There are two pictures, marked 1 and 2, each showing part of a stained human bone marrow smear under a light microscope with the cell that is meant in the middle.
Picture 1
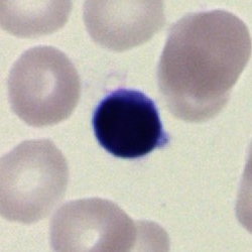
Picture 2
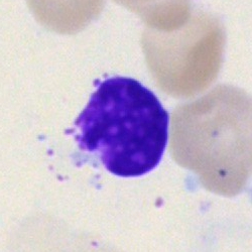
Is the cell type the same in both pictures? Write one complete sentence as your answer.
Yes, both are lymphocytes.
